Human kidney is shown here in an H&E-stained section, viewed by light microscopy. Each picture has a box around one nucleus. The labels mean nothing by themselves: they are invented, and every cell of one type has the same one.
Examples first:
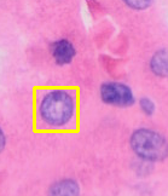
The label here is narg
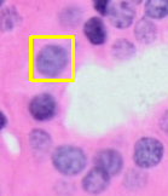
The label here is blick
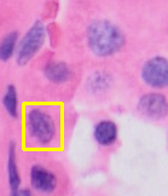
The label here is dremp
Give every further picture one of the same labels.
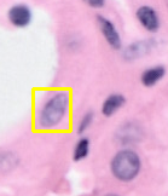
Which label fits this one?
dremp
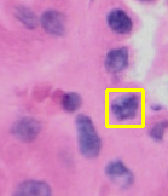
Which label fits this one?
dremp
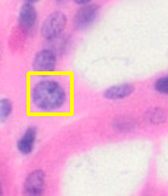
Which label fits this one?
blick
